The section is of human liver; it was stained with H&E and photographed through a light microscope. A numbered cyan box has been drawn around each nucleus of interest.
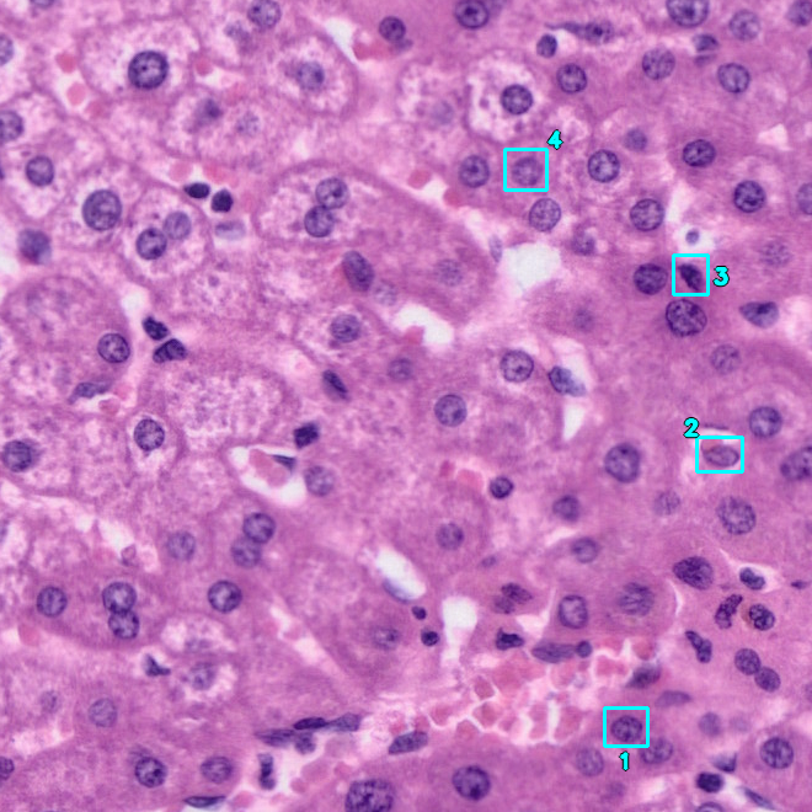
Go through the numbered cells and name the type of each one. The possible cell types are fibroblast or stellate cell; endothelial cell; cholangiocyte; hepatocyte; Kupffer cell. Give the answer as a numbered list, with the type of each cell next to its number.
1. hepatocyte
2. Kupffer cell
3. fibroblast or stellate cell
4. hepatocyte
